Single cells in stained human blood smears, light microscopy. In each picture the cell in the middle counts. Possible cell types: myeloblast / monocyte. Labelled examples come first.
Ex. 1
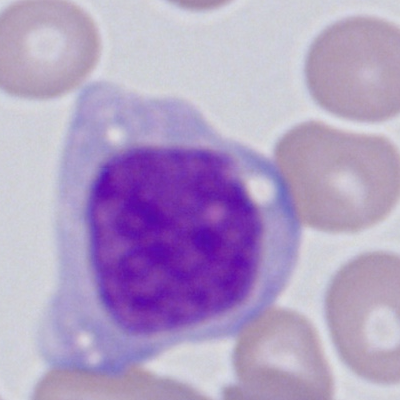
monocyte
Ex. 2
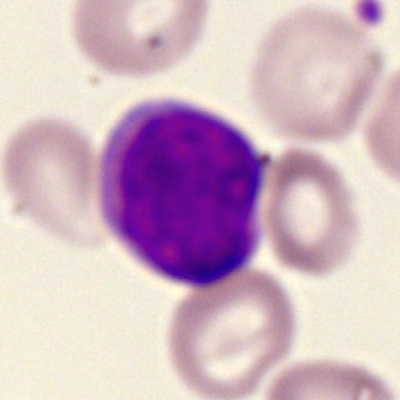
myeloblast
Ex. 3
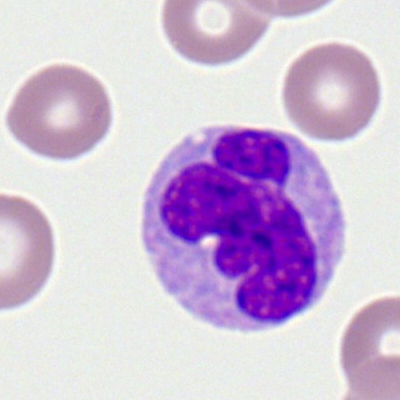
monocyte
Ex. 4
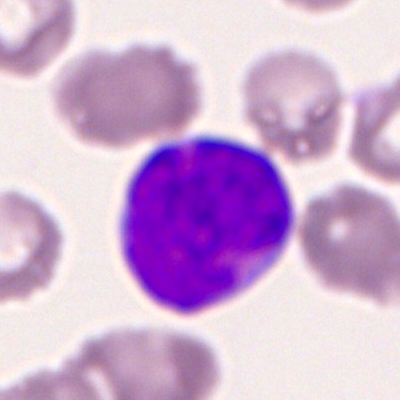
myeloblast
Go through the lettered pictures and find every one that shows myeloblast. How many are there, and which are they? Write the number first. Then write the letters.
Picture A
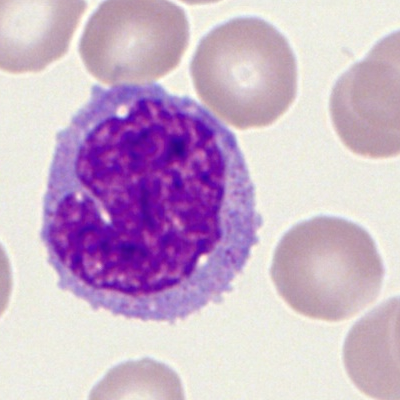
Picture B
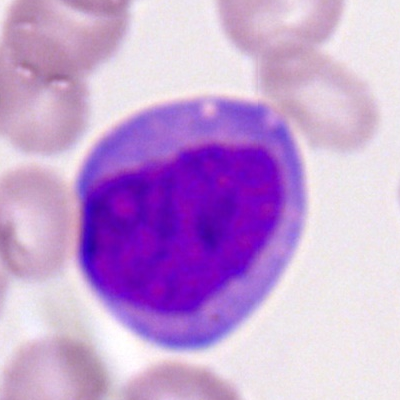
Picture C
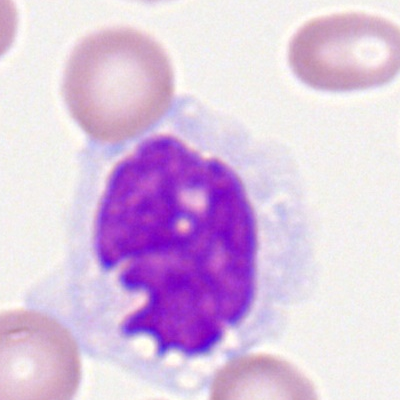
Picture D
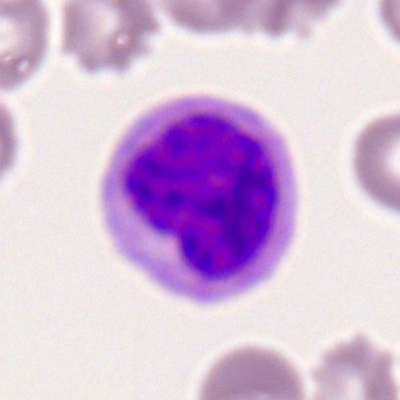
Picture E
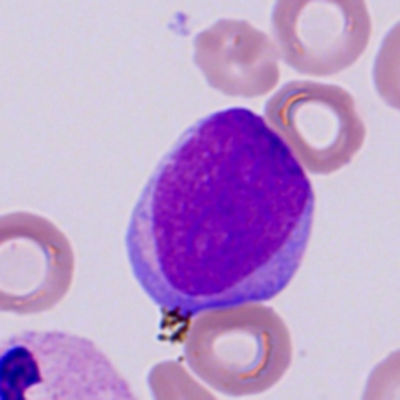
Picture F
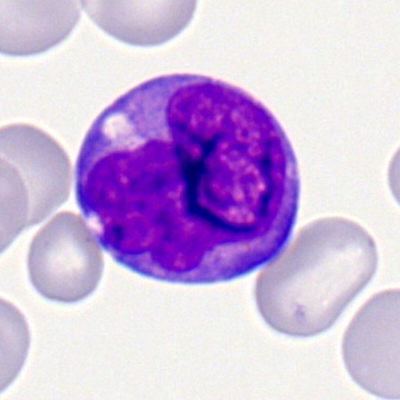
Count: 3 (B, E, F)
